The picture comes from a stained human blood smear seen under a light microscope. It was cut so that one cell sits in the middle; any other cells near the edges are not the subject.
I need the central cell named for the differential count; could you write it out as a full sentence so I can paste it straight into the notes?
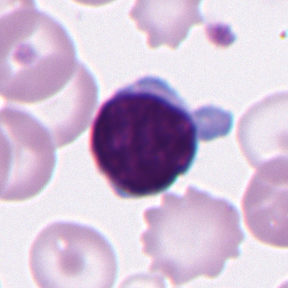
In the crop, the cell of interest at the centre is a typical lymphocyte.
